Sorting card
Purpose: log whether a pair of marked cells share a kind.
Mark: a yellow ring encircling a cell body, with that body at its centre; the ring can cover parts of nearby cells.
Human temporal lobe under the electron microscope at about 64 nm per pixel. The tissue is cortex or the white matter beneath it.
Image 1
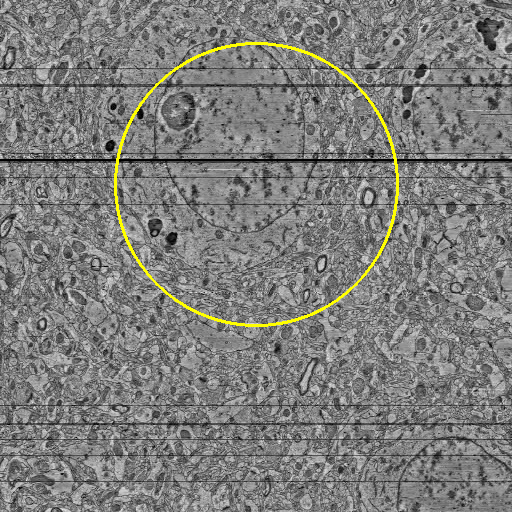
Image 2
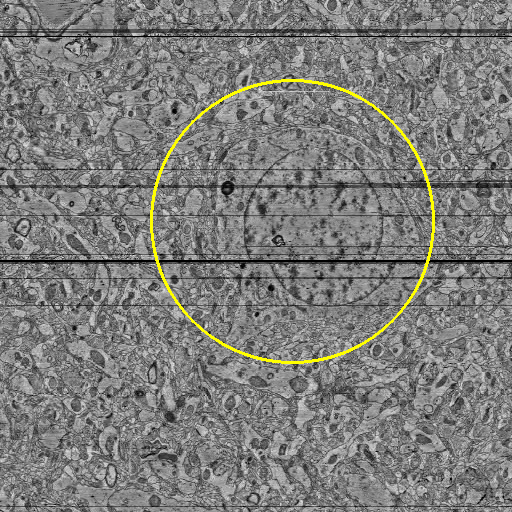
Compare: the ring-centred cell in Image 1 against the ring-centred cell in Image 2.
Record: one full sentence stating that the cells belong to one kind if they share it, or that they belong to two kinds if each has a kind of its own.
Across Images 1 and 2, the two ring-centred cells belong to one kind.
